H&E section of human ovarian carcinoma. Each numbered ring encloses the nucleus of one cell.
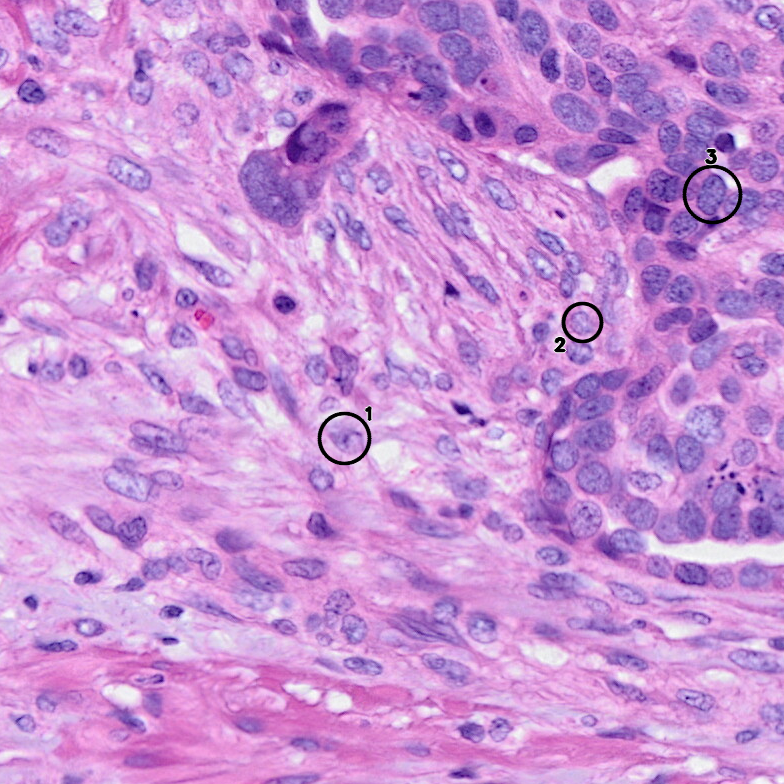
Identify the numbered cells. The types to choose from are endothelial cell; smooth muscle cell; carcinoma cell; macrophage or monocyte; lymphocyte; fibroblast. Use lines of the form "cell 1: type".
cell 1: fibroblast
cell 2: fibroblast
cell 3: carcinoma cell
